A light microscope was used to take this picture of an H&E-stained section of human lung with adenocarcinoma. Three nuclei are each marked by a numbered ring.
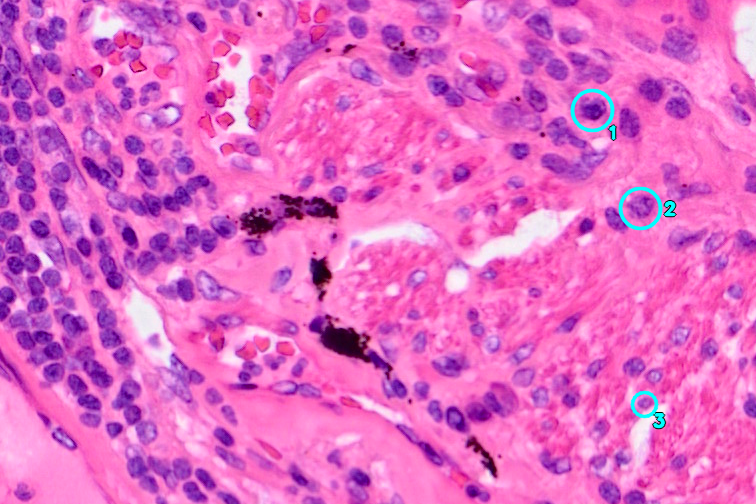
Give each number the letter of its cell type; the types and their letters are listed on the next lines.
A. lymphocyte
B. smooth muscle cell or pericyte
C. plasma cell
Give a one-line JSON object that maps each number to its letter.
{"1": "C", "2": "C", "3": "B"}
